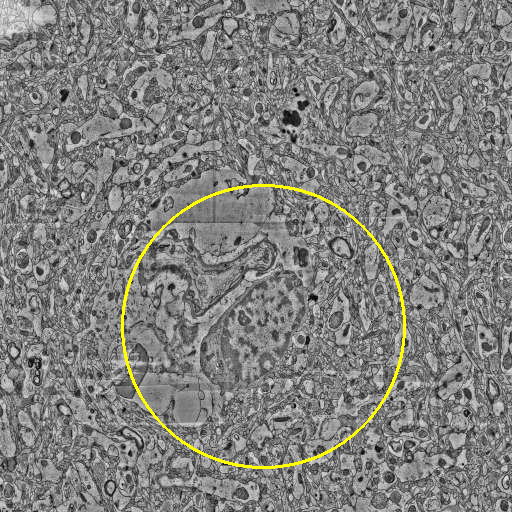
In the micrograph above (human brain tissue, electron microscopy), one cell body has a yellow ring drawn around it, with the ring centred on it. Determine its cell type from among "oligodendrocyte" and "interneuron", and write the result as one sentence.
The cell whose body is ringed is an oligodendrocyte.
